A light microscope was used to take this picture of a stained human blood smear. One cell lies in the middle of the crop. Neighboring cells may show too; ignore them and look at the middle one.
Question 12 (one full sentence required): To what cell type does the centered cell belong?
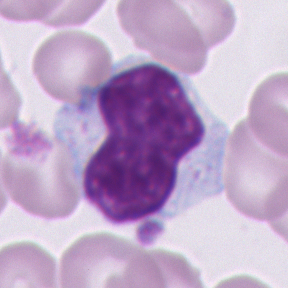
The cell of interest, located centrally, is a large granular lymphocyte.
